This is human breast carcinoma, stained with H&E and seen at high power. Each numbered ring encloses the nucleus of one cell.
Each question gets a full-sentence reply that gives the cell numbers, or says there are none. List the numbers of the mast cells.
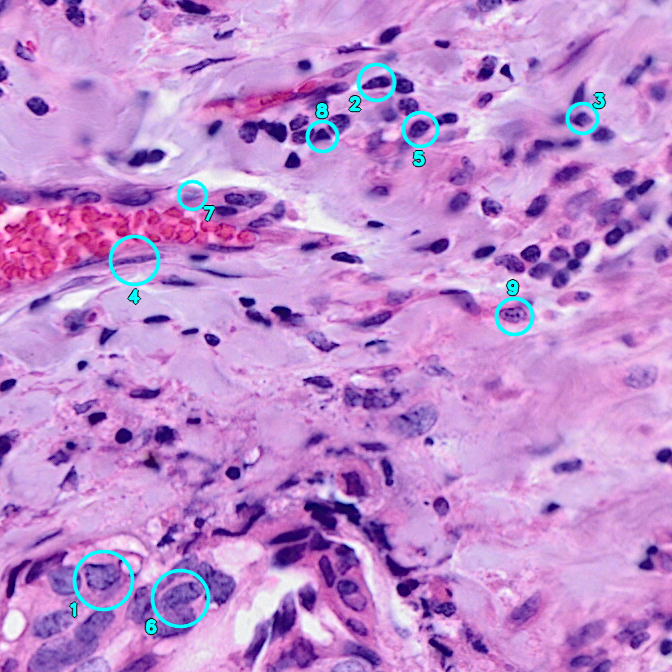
The only cell among those numbered to be a mast cell is number 9.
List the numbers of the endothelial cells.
The cells to which the numbers 4 and 7 refer are endothelial cells.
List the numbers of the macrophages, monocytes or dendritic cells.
There are no macrophages, monocytes or dendritic cells among the cells marked with numbers.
